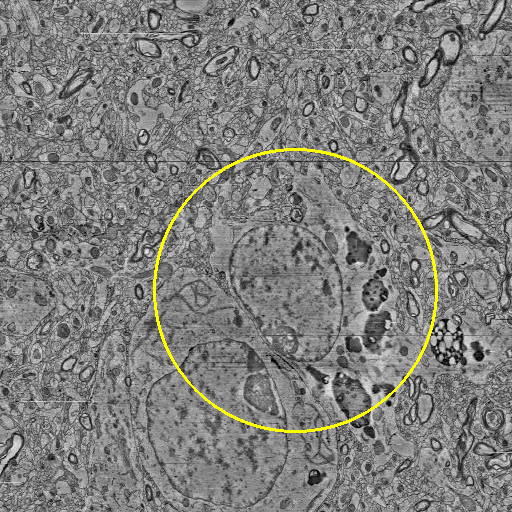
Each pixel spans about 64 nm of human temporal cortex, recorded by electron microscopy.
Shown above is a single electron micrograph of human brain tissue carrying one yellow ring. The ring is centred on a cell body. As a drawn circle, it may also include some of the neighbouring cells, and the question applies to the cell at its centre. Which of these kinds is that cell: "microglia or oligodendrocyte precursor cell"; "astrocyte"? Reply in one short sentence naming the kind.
The cell marked by the ring is an astrocyte.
